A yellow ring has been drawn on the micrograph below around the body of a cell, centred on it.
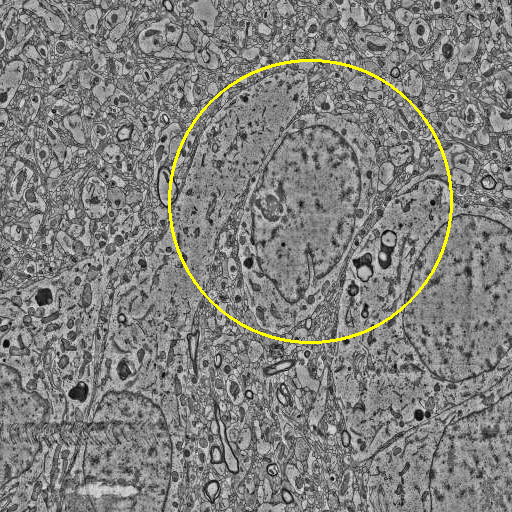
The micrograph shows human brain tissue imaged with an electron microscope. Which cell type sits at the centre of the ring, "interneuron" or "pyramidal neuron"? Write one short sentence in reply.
The cell sitting at the centre of the ring is an interneuron.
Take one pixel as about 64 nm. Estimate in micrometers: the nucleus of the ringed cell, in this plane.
Approximately 11 micrometres long and 7 micrometres wide, so clearly longer than it is wide in this plane.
